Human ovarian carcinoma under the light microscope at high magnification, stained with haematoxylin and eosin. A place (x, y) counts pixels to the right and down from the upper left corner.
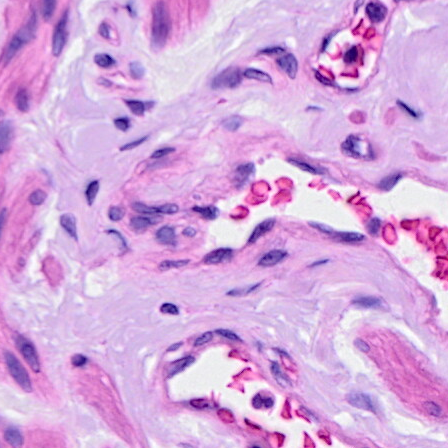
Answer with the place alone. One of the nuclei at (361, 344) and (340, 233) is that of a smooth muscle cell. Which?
(361, 344)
